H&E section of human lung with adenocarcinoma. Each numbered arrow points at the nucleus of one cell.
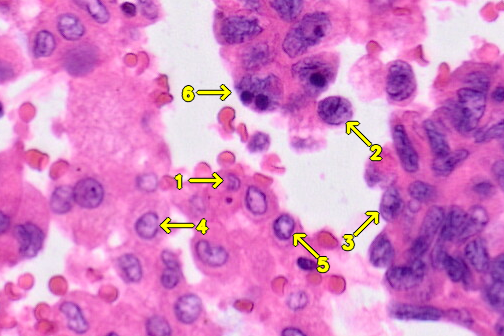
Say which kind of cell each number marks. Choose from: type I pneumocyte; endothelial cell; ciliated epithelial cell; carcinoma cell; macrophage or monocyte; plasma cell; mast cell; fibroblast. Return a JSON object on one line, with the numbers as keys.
{"1": "macrophage or monocyte", "2": "carcinoma cell", "3": "carcinoma cell", "4": "macrophage or monocyte", "5": "macrophage or monocyte", "6": "carcinoma cell"}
